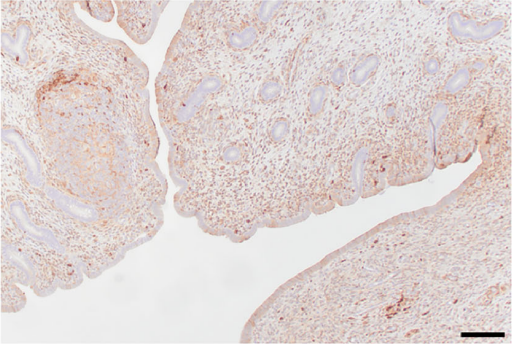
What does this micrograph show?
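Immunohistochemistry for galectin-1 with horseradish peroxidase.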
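This is uterine wall with endometrium, its stroma densely packed with cells and crossed by many glands. The glands are cut across as small round or elongated tubes, each lined by a single layer of columnar cells with pale blue-grey cytoplasm and little colour. A similar columnar epithelium lines the folded surface facing the broad lumen. The stromal cells between the glands are small and crowded, and their surroundings carry a reddish-brown tint, deeper in patches and around some vessels.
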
